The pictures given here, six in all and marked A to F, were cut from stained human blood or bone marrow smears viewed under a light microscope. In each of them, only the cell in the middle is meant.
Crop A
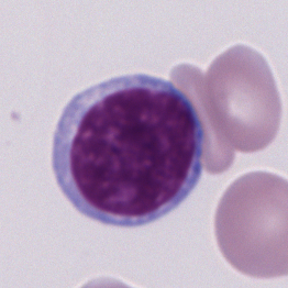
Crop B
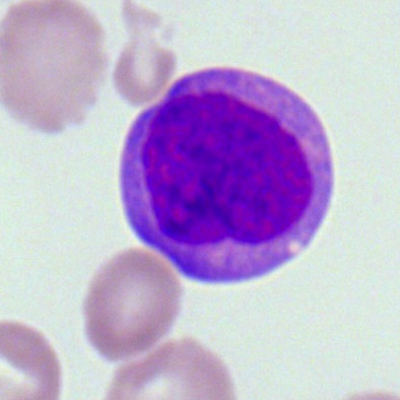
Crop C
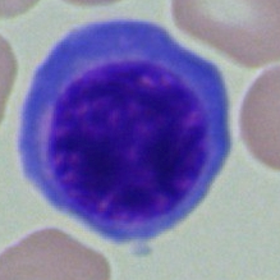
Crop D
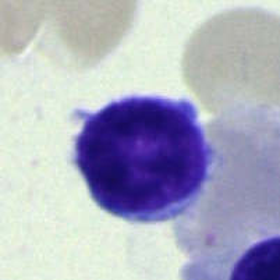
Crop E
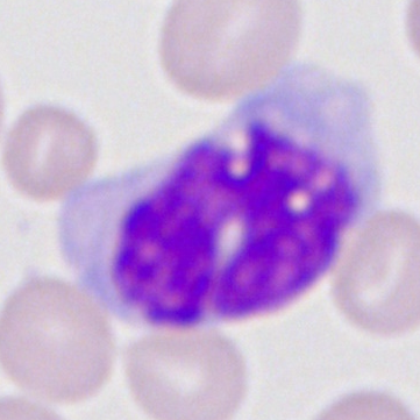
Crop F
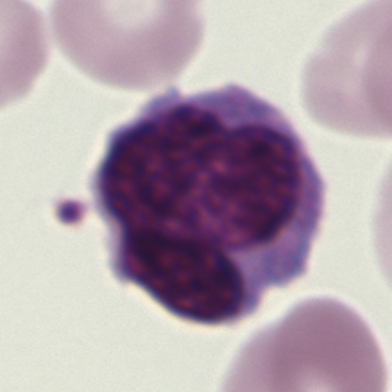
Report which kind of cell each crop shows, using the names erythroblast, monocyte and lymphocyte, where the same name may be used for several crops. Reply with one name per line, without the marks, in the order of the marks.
lymphocyte
monocyte
erythroblast
lymphocyte
monocyte
monocyte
